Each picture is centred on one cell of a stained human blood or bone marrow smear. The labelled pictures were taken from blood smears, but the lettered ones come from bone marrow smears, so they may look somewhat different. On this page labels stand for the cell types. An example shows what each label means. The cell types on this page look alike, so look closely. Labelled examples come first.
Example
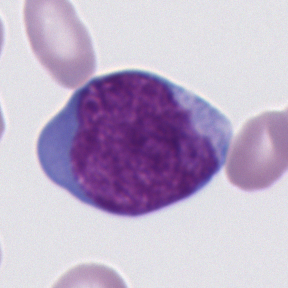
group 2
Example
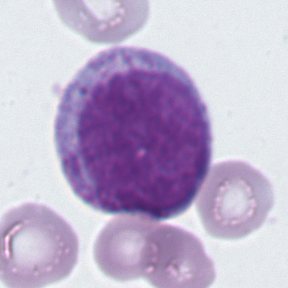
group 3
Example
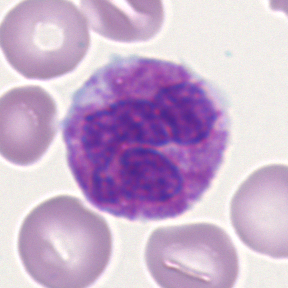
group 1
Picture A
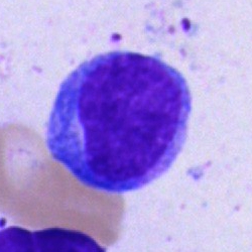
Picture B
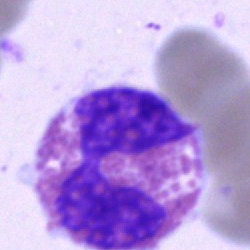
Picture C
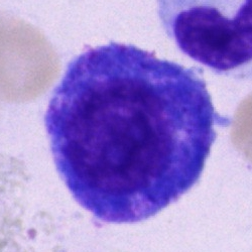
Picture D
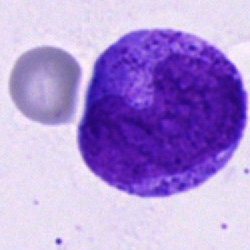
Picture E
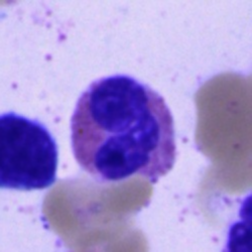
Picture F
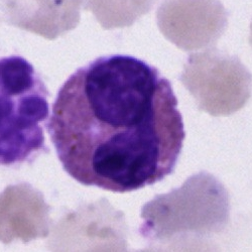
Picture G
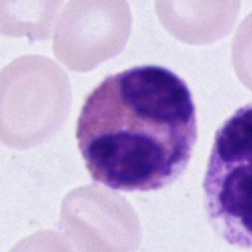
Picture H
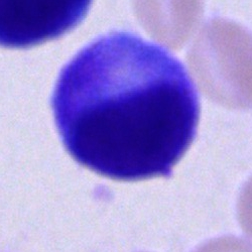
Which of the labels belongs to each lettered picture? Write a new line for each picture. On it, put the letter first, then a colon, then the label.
A: group 2
B: group 1
C: group 3
D: group 3
E: group 1
F: group 1
G: group 1
H: group 3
